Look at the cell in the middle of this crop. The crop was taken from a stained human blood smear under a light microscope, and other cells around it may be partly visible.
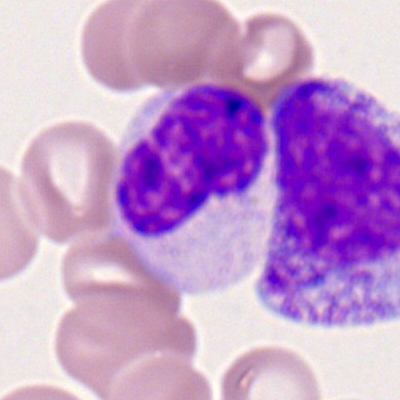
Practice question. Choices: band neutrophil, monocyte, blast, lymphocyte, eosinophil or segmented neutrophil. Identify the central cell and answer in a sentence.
On this slide crop, the central cell is a band neutrophil.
